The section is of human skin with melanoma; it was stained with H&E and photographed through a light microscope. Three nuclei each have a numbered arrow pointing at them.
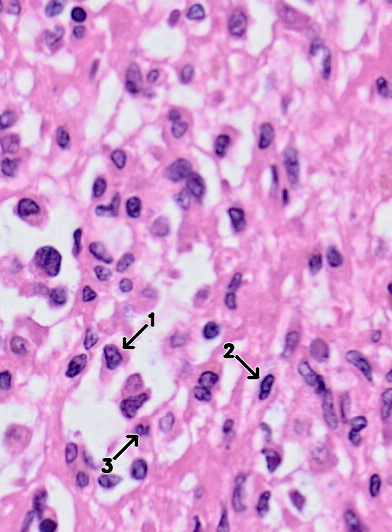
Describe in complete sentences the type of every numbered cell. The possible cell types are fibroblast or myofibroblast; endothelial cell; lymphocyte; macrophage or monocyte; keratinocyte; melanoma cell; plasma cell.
Cell 1 is a macrophage or monocyte, cell 2 is a lymphocyte and cell 3 is a macrophage or monocyte.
